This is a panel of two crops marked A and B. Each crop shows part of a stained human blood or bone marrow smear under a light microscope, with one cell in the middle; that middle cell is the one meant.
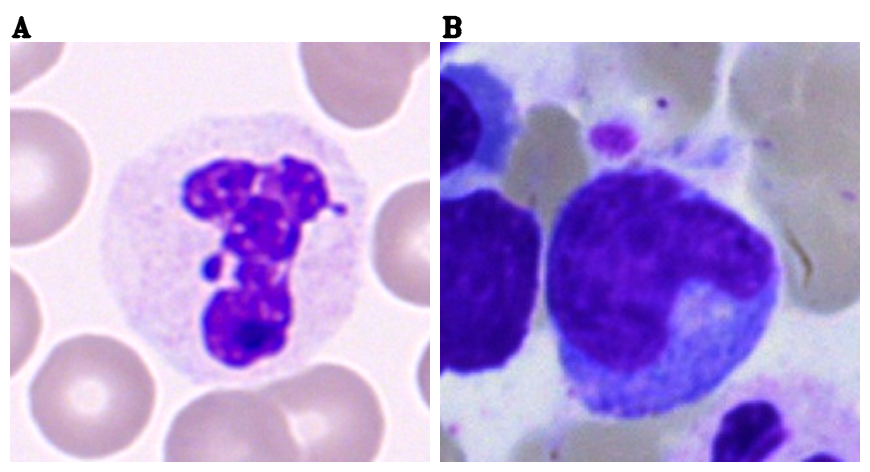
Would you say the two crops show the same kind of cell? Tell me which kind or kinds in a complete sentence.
No, it is in crop A that a segmented neutrophil is shown, and in crop B that a monocyte is shown.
